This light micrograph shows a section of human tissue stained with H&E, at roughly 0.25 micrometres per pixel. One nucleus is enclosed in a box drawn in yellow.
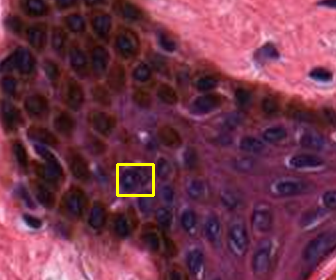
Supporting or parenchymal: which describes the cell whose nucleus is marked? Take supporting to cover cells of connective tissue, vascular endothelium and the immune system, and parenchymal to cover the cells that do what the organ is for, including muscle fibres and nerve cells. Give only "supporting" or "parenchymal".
parenchymal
